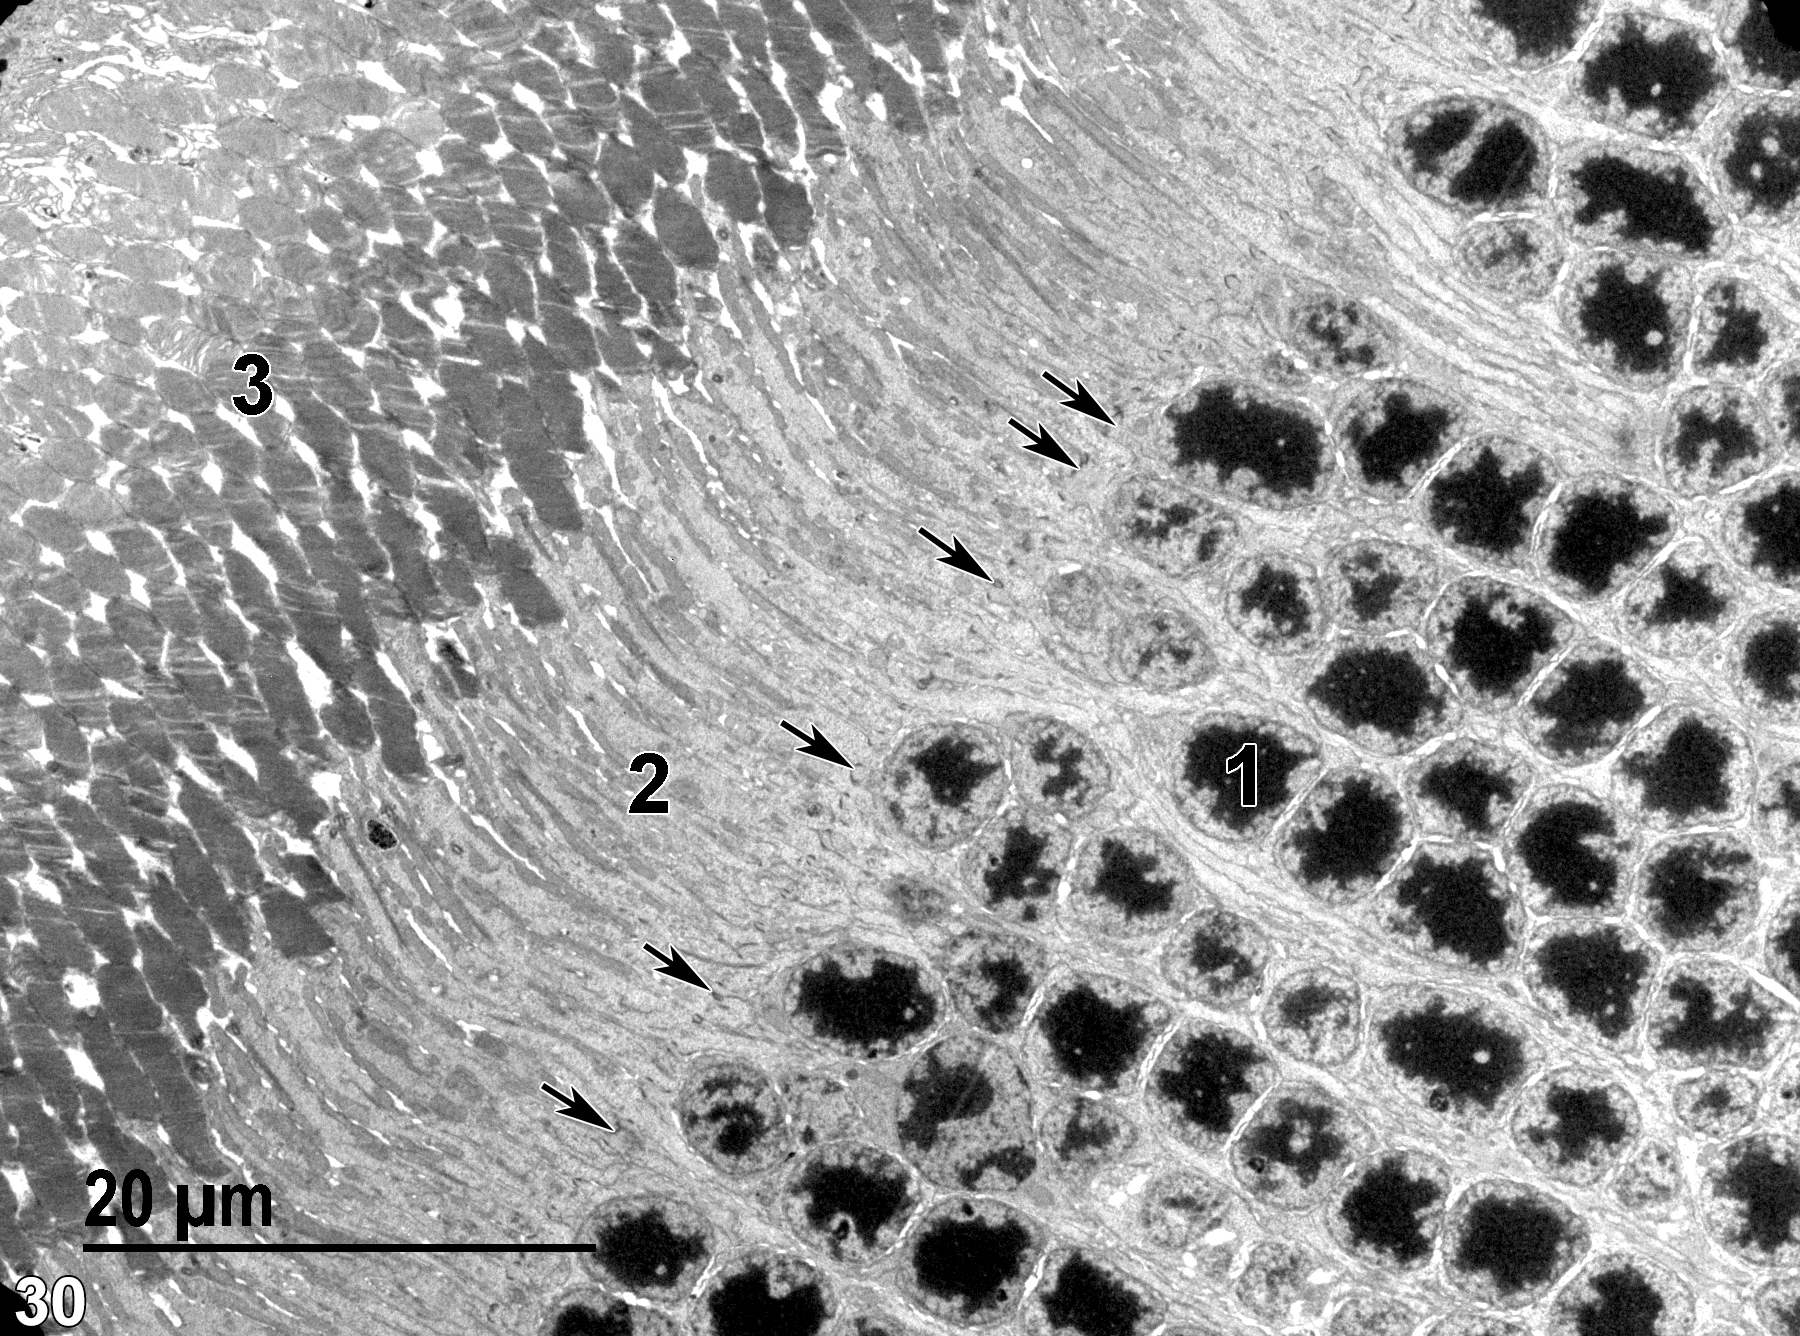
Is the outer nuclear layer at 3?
No: the outer segments of the rods and cones.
